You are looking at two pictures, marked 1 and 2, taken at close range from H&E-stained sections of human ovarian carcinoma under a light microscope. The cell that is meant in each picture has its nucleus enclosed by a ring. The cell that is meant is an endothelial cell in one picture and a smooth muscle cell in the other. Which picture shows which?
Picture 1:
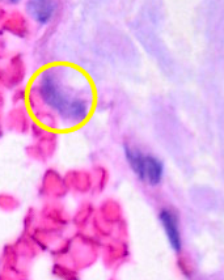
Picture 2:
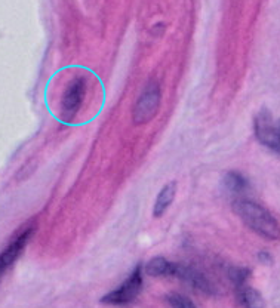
1: endothelial cell
2: smooth muscle cell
